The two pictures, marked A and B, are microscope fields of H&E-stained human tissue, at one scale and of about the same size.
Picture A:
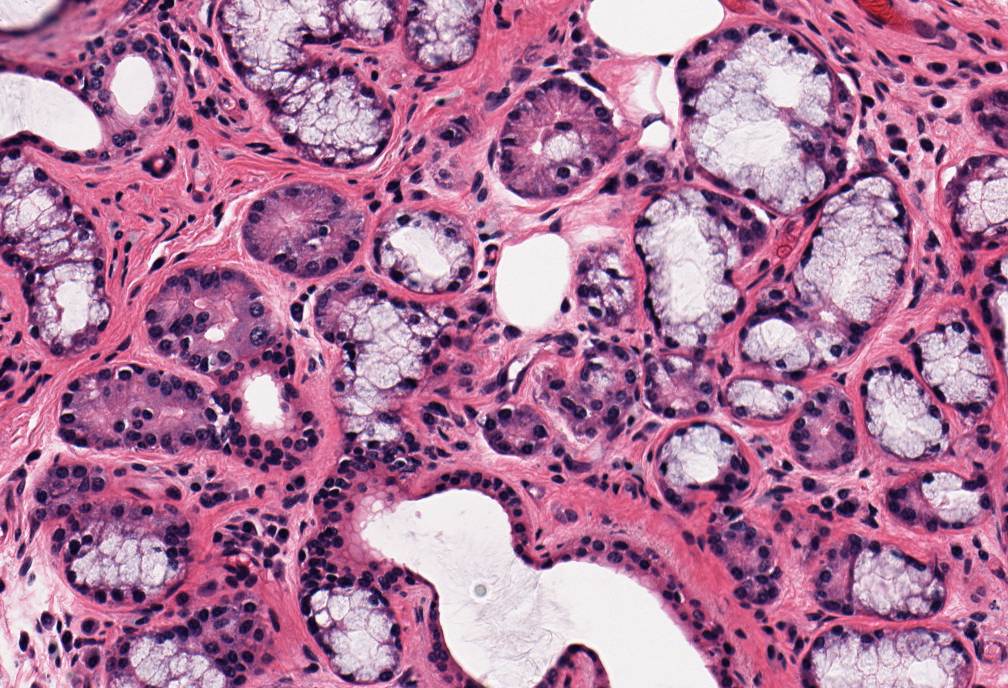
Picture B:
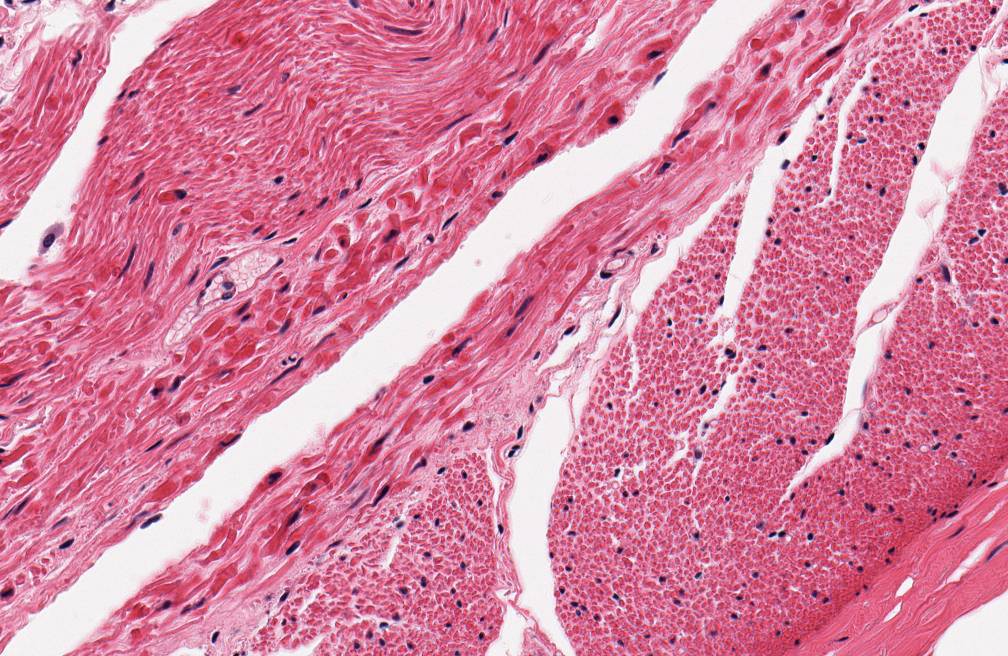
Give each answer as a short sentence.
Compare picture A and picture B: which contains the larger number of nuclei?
More nuclei lie in picture A than in picture B.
